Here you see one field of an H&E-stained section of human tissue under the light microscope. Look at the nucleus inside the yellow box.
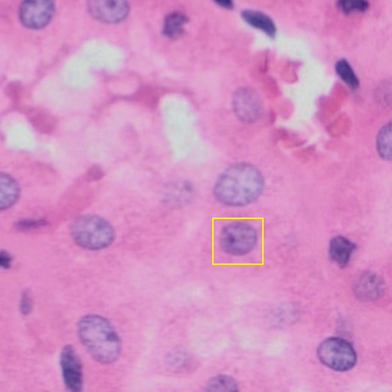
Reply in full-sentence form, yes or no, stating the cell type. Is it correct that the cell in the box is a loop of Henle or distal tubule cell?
No, the cell in the box is classed as a proximal tubule cell, not as a loop of Henle or distal tubule cell.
